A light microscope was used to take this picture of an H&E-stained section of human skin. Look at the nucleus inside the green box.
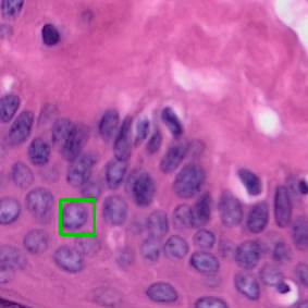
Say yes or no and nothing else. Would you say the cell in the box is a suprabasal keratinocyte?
yes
